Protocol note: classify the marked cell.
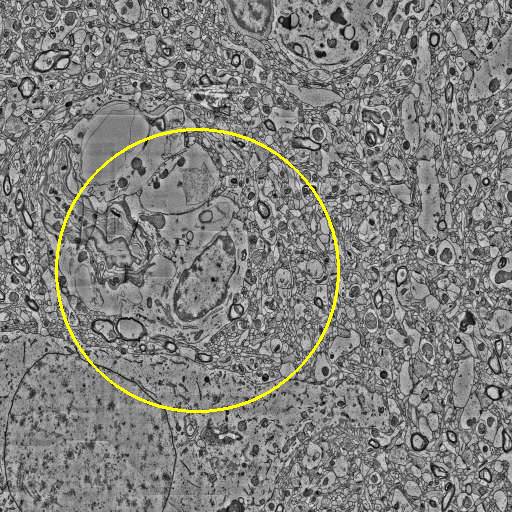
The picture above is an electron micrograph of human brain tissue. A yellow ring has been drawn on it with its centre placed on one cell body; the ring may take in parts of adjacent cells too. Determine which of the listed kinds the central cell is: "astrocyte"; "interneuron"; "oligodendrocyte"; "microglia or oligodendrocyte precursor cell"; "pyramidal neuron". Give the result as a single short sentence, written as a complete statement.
The central cell is a microglial cell or oligodendrocyte precursor cell.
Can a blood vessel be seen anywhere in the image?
Yes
